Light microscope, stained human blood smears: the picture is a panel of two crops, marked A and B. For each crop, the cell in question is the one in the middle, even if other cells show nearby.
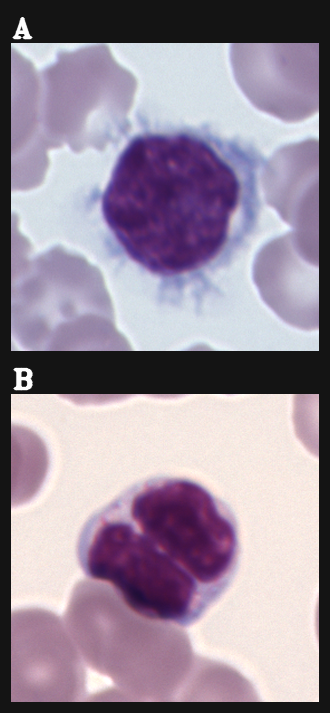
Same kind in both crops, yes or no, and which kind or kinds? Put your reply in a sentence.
No, crop A shows a hairy cell, and crop B, by contrast, shows a large granular lymphocyte.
